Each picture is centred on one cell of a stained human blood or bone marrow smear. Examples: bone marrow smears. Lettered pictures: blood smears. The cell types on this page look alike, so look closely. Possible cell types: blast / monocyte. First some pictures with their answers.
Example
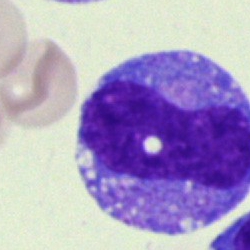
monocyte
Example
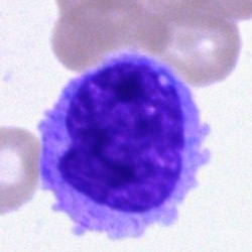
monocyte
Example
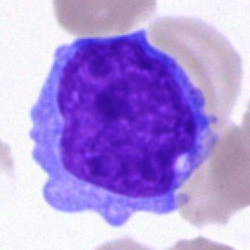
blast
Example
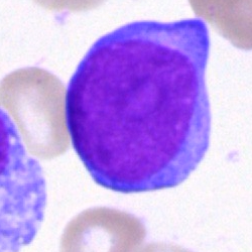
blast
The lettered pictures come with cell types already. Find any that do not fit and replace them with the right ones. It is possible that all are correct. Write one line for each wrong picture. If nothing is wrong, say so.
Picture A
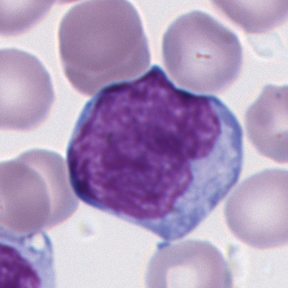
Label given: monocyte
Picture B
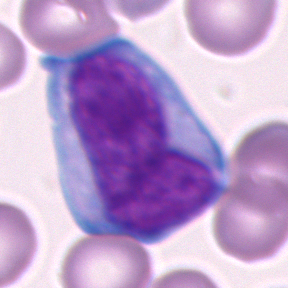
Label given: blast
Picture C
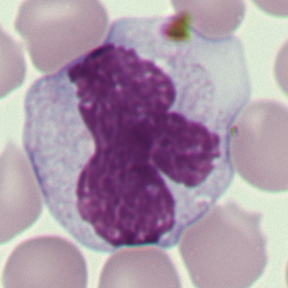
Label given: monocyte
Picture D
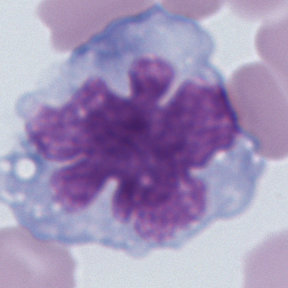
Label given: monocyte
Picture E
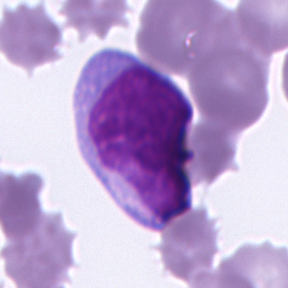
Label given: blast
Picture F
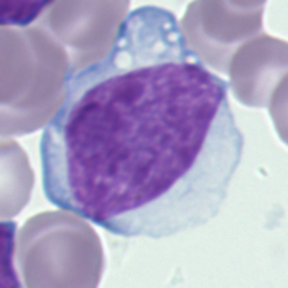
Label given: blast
A is labelled monocyte; correct label: blast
